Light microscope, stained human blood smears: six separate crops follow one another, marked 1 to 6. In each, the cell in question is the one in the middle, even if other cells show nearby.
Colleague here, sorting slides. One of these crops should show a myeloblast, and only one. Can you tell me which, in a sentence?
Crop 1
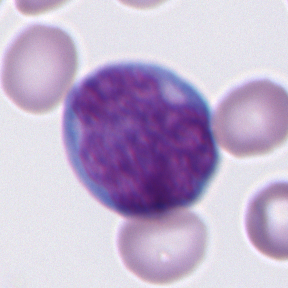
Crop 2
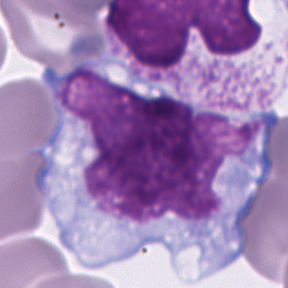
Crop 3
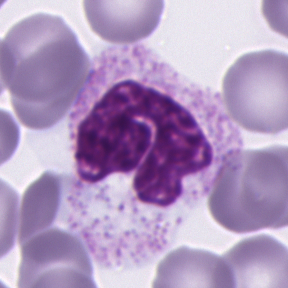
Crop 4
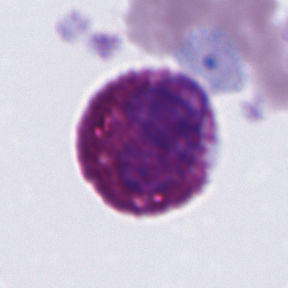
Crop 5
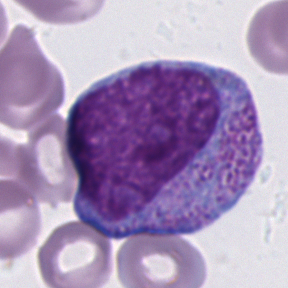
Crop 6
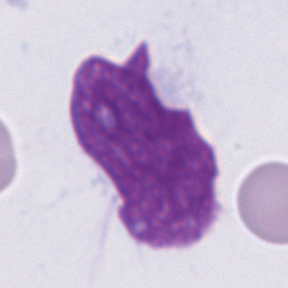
The correct choice is crop 1, the one showing a myeloblast.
